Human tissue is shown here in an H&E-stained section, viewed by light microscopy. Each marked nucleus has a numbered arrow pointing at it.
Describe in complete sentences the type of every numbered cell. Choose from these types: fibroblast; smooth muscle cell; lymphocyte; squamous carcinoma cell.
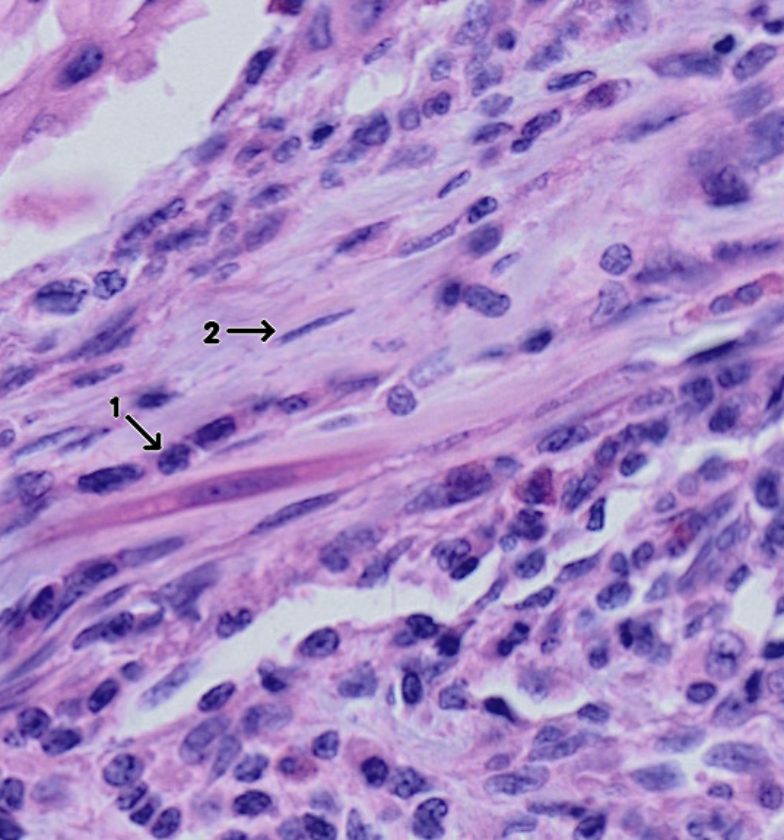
Cell 1 is a lymphocyte. Cell 2 is a fibroblast.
